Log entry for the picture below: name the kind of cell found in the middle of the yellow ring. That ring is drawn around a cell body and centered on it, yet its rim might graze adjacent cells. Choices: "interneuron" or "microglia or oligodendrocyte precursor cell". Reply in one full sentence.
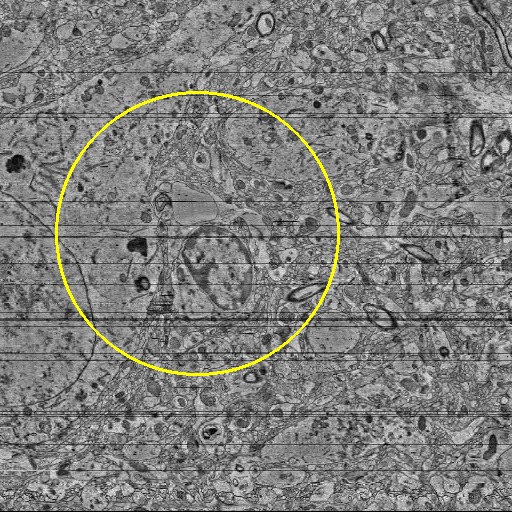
The cell in the middle of the yellow ring in this picture is a microglial cell or oligodendrocyte precursor cell.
